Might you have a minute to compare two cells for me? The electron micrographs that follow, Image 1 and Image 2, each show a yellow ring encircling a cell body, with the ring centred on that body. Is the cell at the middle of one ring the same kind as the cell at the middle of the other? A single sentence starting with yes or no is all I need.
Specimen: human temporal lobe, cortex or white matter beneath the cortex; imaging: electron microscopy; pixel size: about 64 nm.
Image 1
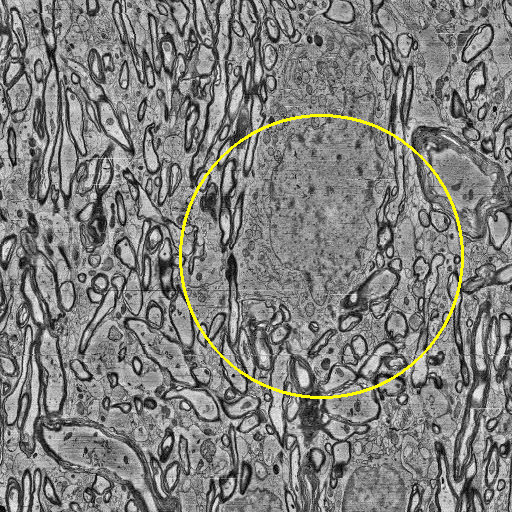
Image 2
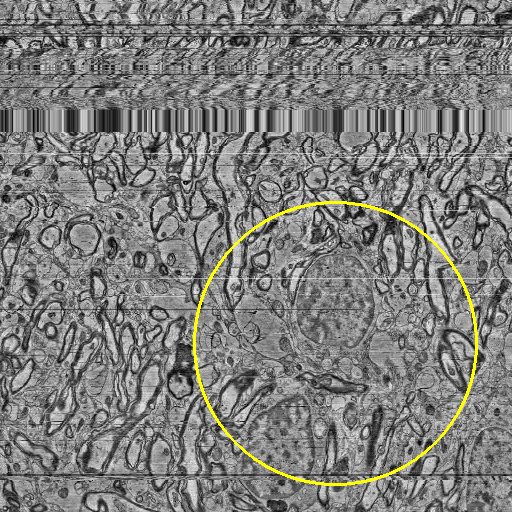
No, the cells in the middle of the two rings are of two separate kinds.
